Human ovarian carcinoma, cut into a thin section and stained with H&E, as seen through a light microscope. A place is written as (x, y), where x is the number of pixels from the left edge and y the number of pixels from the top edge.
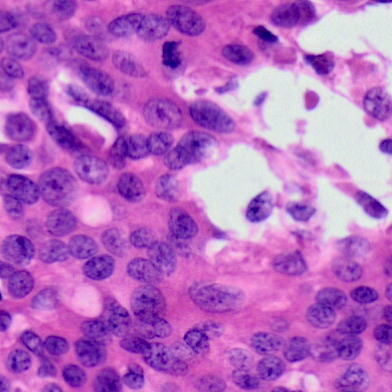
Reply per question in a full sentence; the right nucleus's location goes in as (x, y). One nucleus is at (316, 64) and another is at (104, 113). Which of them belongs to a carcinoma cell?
The nucleus at (104, 113), rather than the other, belongs to a carcinoma cell.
